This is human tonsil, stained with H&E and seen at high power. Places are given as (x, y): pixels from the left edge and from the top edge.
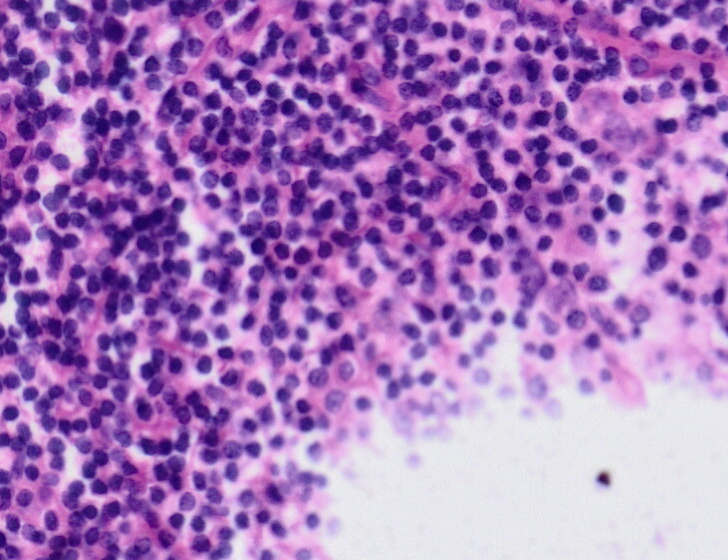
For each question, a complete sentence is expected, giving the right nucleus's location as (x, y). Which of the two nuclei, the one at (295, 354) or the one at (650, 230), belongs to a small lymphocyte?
The nucleus at (295, 354) is part of a small lymphocyte, while the other is not.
